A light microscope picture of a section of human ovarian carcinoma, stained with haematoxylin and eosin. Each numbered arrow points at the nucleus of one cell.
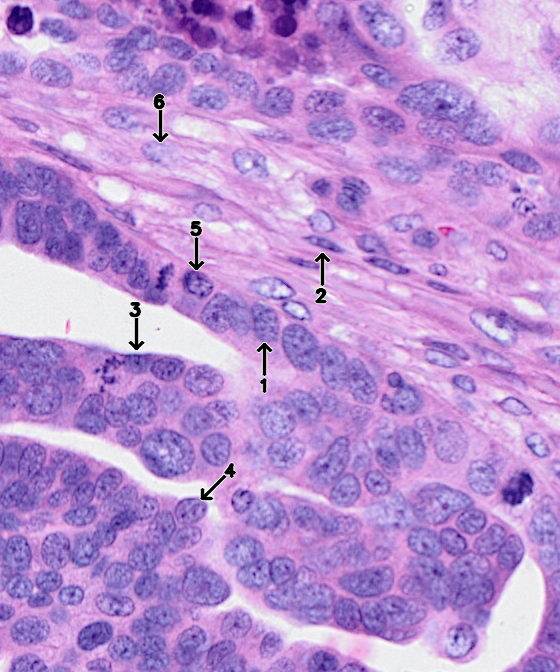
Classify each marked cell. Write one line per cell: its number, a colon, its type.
1: carcinoma cell
2: fibroblast
3: carcinoma cell
4: carcinoma cell
5: macrophage or monocyte
6: fibroblast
